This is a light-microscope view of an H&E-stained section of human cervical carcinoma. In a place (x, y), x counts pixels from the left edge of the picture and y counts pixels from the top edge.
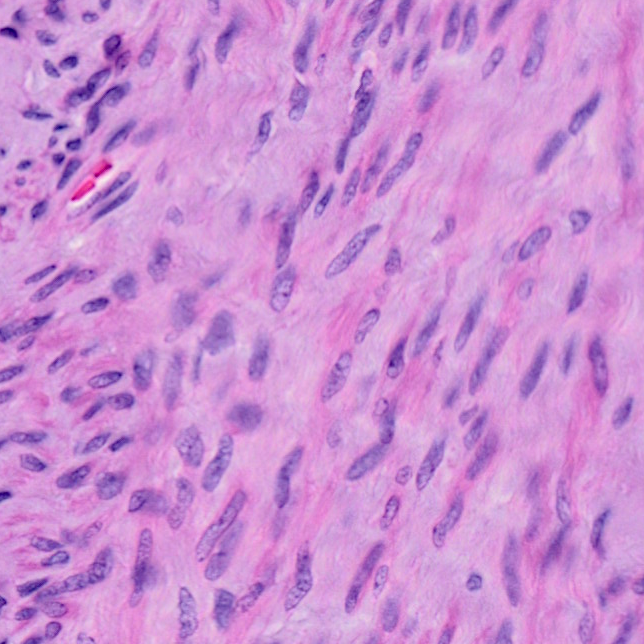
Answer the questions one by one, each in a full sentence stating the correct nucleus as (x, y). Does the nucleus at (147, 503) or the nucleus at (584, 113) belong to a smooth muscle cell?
The nucleus at (147, 503) is attributed to a smooth muscle cell, unlike the other nucleus.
